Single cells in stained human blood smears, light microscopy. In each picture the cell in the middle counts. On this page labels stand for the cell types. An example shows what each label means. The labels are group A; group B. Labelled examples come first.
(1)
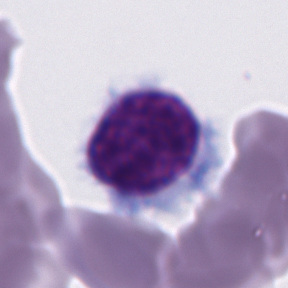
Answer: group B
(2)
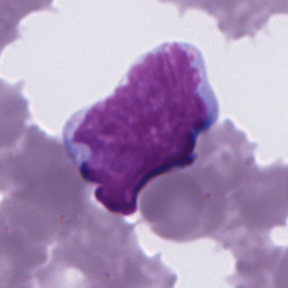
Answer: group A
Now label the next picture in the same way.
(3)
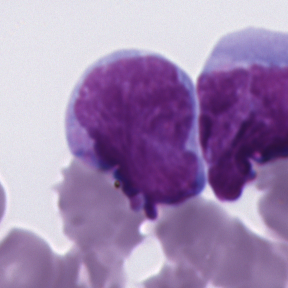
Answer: group A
